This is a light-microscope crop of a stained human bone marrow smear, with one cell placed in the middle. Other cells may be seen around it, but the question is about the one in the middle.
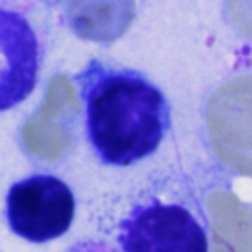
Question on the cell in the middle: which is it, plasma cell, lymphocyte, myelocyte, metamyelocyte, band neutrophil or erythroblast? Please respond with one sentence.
The target cell in the middle of the crop is a lymphocyte.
